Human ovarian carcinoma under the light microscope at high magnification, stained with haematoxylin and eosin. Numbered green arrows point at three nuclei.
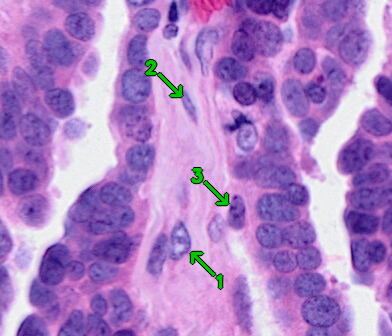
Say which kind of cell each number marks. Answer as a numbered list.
1. fibroblast
2. fibroblast
3. macrophage or monocyte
